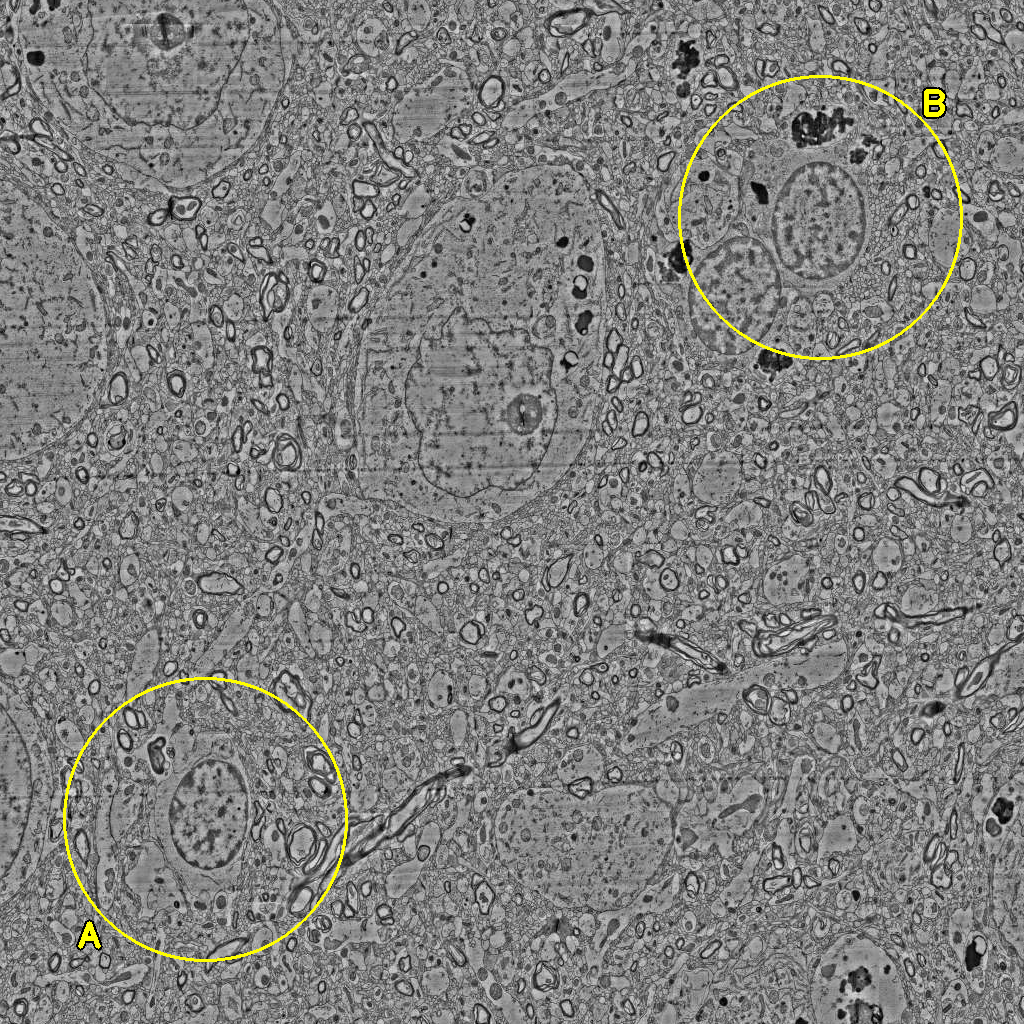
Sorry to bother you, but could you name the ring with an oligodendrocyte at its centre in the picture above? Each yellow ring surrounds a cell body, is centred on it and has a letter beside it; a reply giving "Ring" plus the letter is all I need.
Ring B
